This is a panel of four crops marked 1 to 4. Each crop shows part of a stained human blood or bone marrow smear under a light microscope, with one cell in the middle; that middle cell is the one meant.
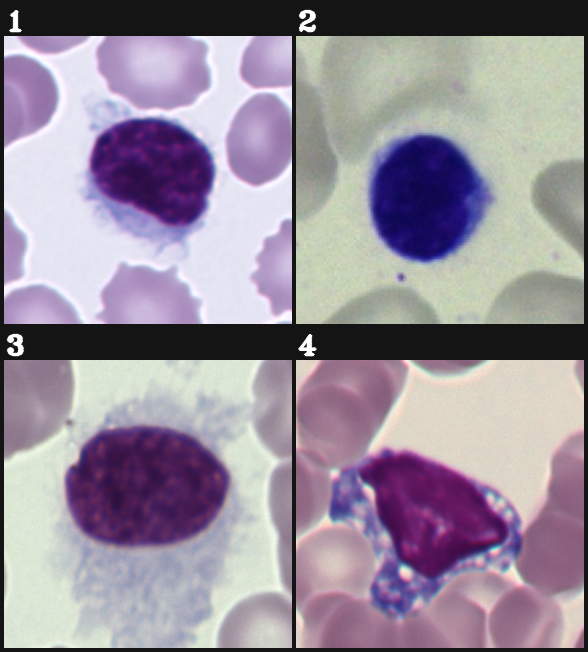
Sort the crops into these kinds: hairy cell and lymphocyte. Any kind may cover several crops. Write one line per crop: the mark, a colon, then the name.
1: hairy cell
2: lymphocyte
3: hairy cell
4: lymphocyte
